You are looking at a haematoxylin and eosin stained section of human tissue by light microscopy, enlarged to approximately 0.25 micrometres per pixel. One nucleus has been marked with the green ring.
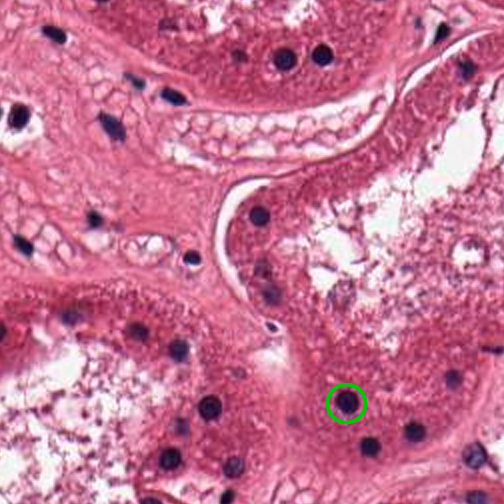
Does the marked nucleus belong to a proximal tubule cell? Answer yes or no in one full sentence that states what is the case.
Yes, the nucleus that has been marked is that of a proximal tubule cell.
